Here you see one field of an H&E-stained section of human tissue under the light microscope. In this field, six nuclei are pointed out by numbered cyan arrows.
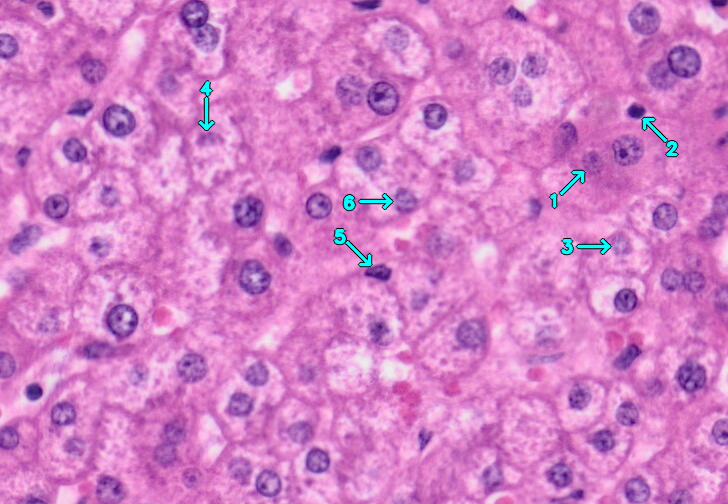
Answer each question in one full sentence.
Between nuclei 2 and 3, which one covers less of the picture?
It is nucleus 2; nucleus 3 has about 2 times its area.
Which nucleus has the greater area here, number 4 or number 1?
Nucleus 1 covers more area, about 1.5 times as much as nucleus 4.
